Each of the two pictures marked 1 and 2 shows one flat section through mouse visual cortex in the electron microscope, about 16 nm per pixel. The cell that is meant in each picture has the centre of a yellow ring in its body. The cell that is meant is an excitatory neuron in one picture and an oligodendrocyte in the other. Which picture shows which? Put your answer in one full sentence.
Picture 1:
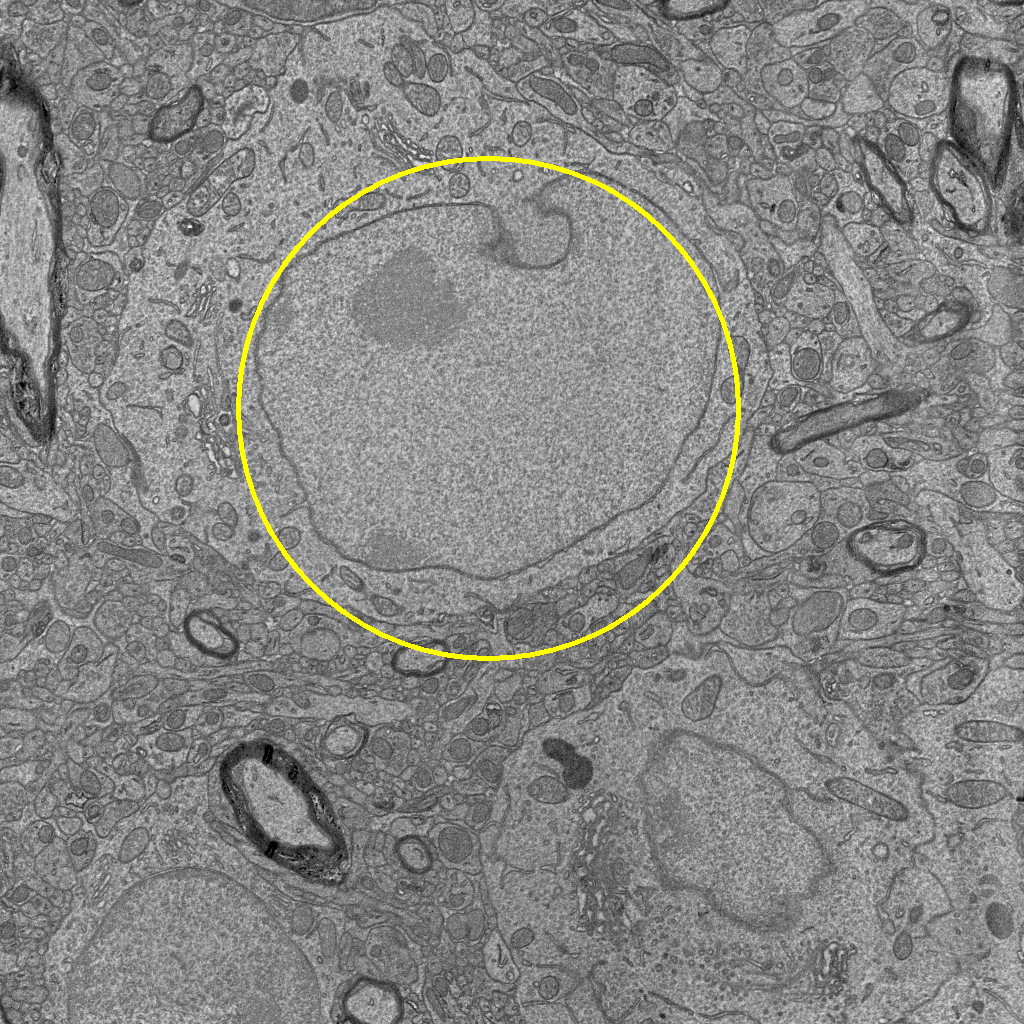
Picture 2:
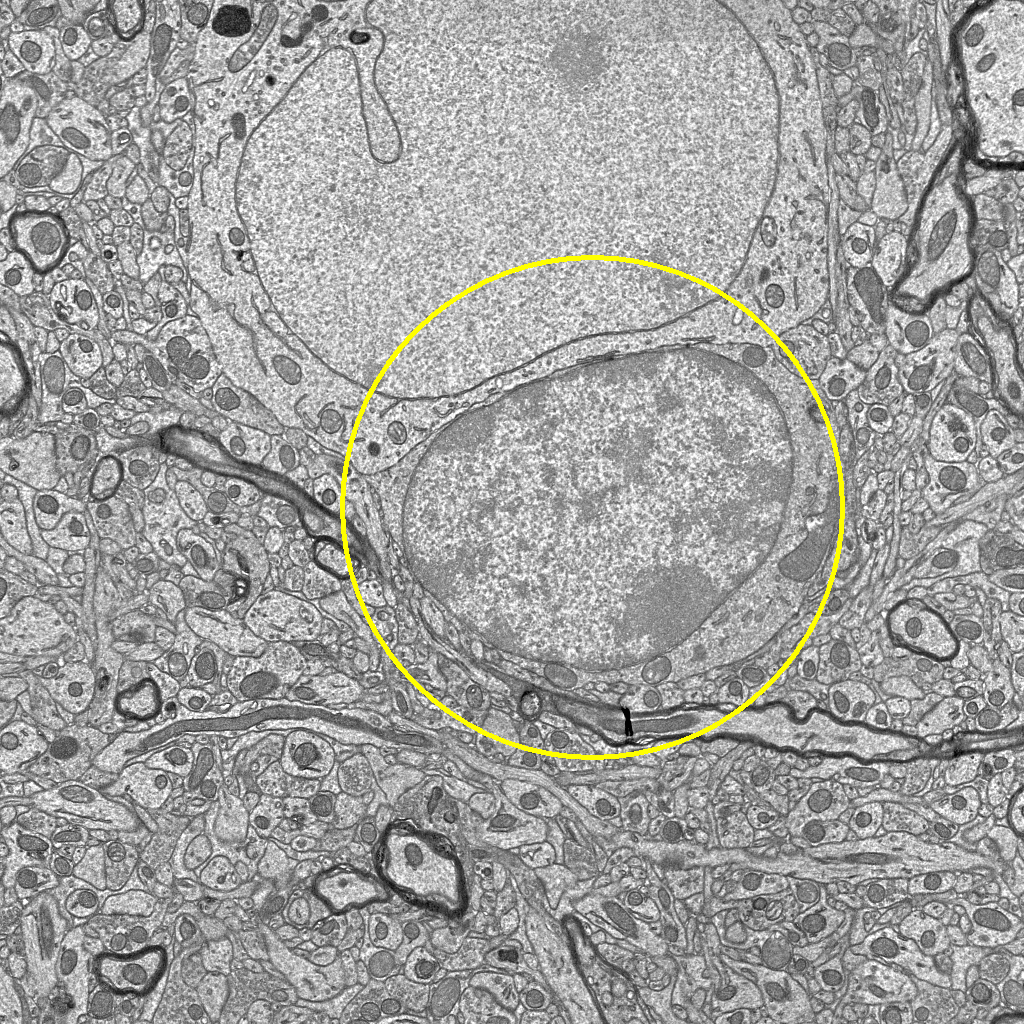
It is picture 1 that shows an excitatory neuron, and picture 2 that shows an oligodendrocyte.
